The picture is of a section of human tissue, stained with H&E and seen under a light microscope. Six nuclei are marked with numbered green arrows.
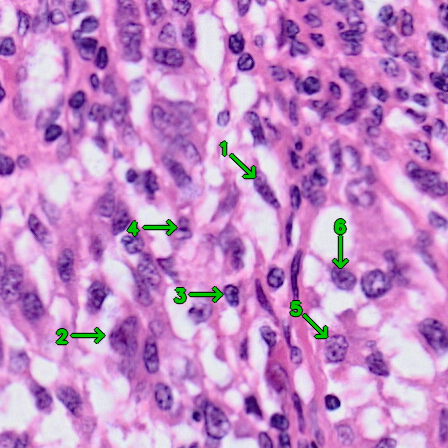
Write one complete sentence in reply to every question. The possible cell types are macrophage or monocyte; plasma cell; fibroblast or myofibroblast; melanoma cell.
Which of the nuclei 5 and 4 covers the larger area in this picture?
It is nucleus 5, which covers about 2.5 times the area of nucleus 4.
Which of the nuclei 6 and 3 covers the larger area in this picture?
Nucleus 6 covers more area, about 1.5 times as much as nucleus 3.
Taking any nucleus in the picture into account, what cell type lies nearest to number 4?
The nucleus nearest to number 4 is that of a melanoma cell.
